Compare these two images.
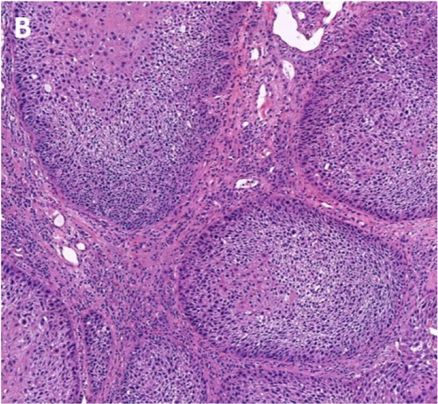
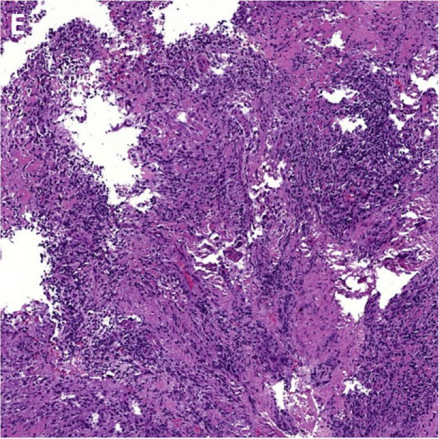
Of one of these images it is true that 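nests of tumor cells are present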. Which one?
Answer: the first image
